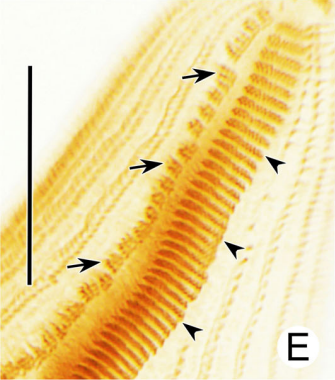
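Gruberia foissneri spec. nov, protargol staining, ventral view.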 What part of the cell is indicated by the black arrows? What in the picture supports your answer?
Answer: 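Paroral membrane. A narrower row of stained kinetosomes runs alongside the band of bars, on its left side. The arrows point to this narrower row.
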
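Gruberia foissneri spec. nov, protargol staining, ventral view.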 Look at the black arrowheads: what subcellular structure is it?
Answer: adoral zone of membranelles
